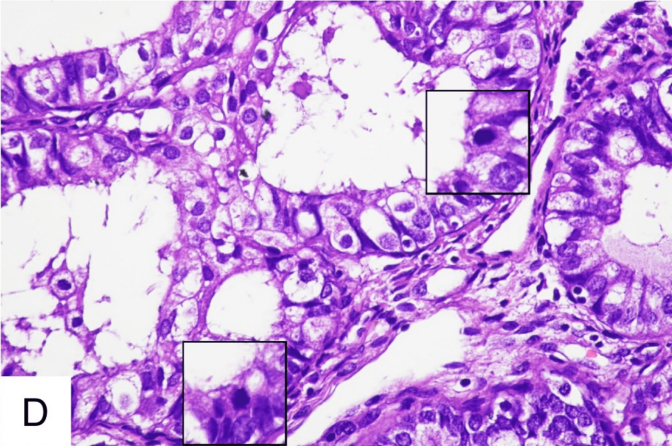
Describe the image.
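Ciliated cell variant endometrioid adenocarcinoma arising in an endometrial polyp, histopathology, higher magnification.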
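Atypical glandular epithelium lines irregular open lumens, the cells having clear to pale pink cytoplasm and enlarged vesicular nuclei with prominent nucleoli. Boxed insets show cells with dark, clumped, irregular chromatin masses, consistent with atypical mitotic figures within the epithelium. Thin stroma with spindle-shaped nuclei separates the glands.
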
